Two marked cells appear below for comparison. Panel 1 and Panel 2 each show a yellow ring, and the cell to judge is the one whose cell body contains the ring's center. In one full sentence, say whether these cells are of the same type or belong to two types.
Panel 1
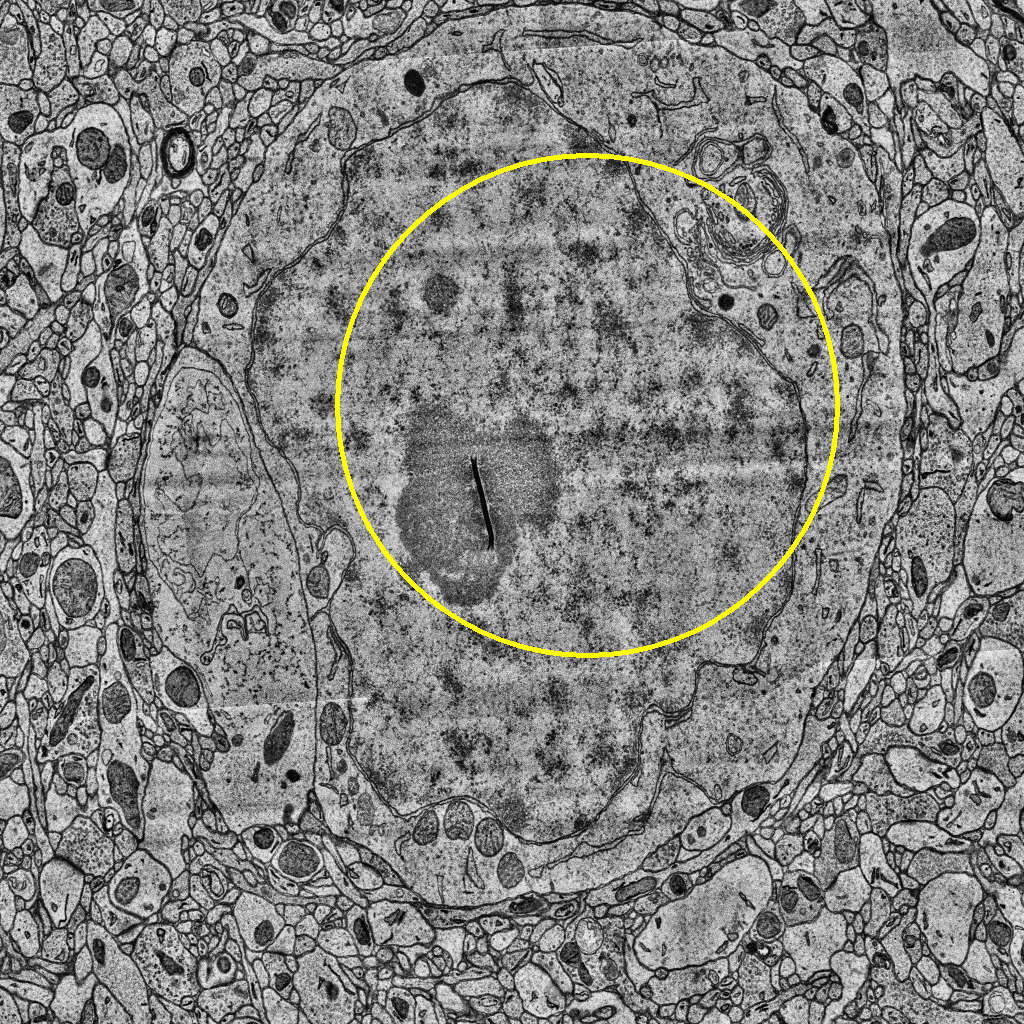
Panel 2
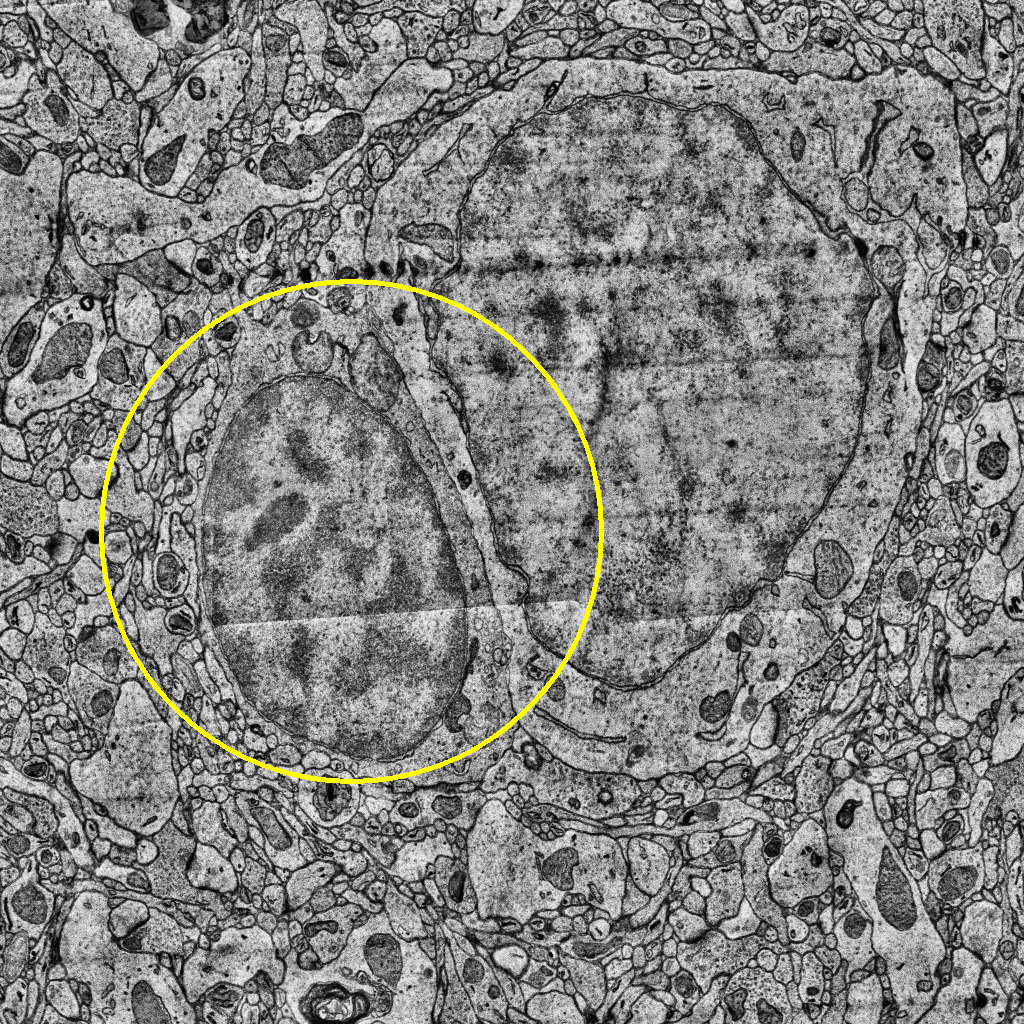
The cell at the ring's center in Panel 1 and the one in Panel 2 belong to two types.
